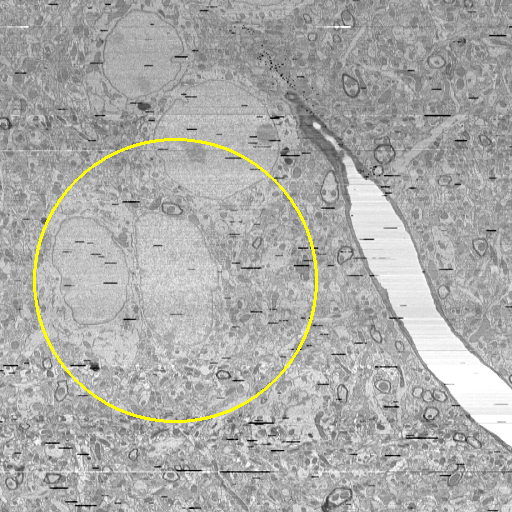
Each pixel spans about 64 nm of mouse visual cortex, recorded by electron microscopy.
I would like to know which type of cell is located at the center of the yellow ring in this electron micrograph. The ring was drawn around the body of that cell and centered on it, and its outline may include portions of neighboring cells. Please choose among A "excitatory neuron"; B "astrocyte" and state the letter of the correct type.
B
